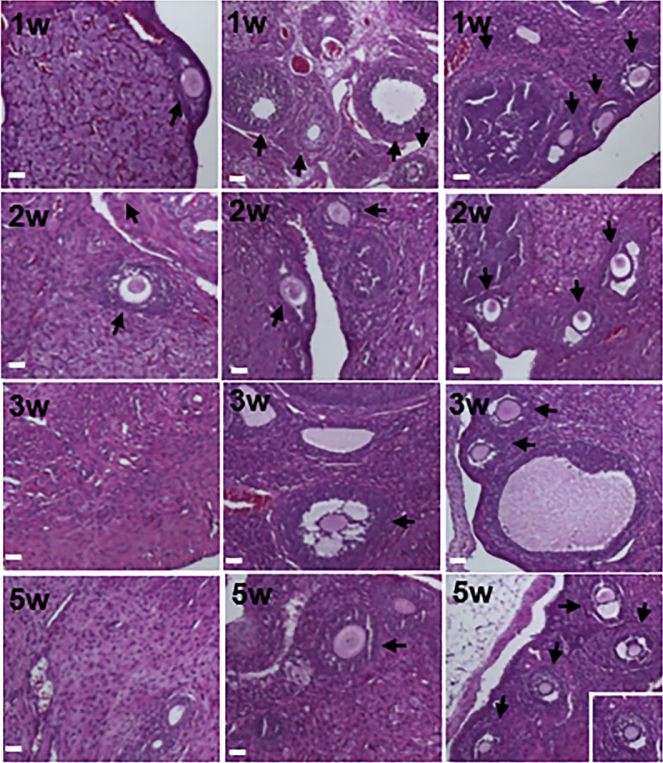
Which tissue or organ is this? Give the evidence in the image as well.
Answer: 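Dense pink-purple stroma holds round follicle-like structures with central oocytes. Some structures have large fluid-filled cavities. On this evidence: ovaries.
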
